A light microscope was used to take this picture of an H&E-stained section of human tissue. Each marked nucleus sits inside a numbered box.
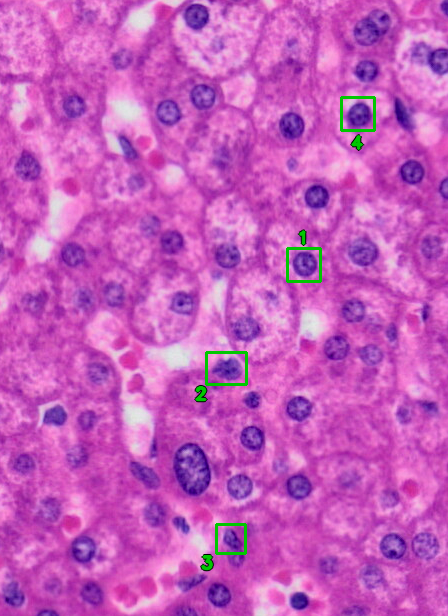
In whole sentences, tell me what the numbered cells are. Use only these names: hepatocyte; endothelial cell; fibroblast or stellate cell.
Cell 1 is a hepatocyte, cell 2 is an endothelial cell, cell 3 is a fibroblast or stellate cell and cell 4 is a hepatocyte.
